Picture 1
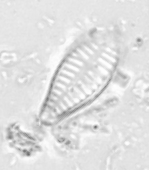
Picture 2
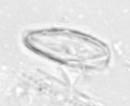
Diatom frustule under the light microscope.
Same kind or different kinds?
Different: the first is Planothidium, the second Achnanthidium.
